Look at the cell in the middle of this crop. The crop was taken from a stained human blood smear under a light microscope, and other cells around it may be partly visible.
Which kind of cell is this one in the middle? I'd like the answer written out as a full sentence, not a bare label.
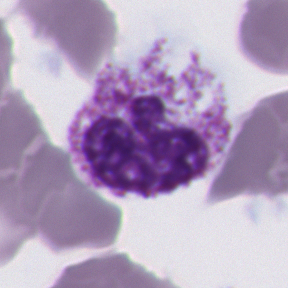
Located at the centre of the crop is a segmented neutrophil.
